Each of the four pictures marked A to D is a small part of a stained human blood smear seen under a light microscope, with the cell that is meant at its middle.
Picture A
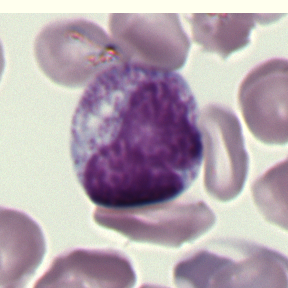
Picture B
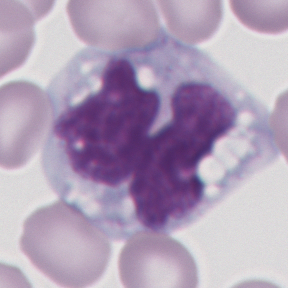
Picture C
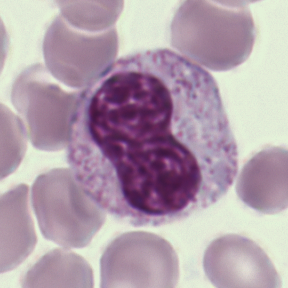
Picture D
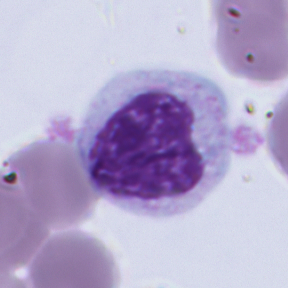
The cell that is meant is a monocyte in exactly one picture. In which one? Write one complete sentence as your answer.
The cell in picture B is the monocyte.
